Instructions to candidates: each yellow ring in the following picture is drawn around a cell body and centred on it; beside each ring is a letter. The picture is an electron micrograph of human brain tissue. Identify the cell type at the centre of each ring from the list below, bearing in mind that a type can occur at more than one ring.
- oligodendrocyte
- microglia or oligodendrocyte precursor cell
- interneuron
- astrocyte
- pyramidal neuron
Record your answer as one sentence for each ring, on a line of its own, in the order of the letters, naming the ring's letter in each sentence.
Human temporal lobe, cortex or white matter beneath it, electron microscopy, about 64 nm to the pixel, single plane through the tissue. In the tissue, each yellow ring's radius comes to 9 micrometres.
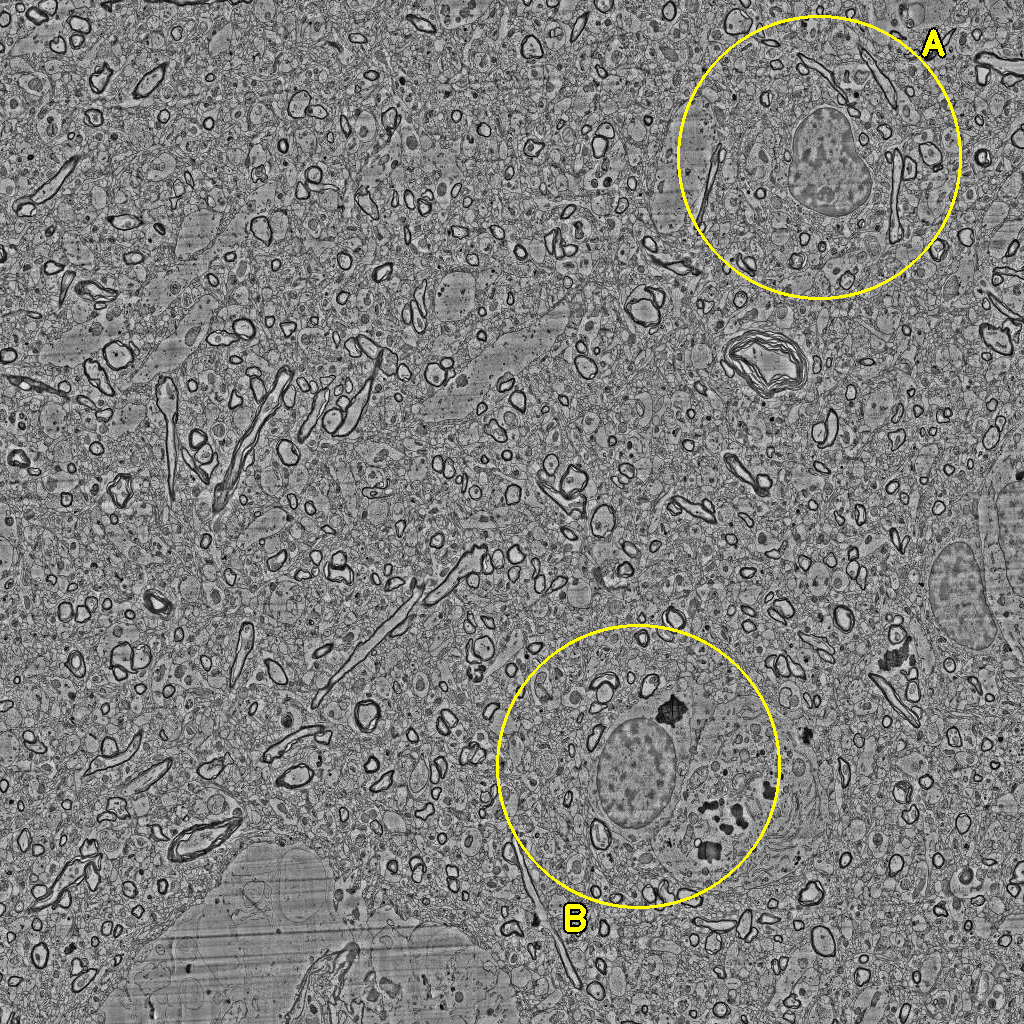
The cell centred in ring A is a microglial cell or oligodendrocyte precursor cell.
The cell centred in ring B is an oligodendrocyte.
